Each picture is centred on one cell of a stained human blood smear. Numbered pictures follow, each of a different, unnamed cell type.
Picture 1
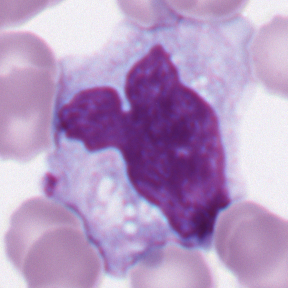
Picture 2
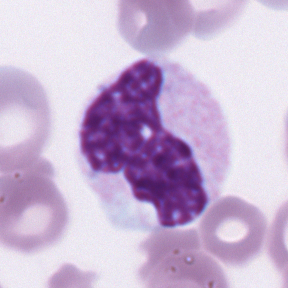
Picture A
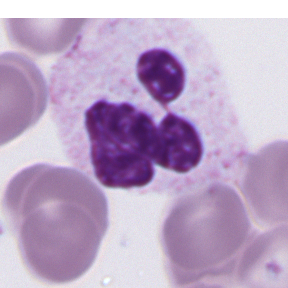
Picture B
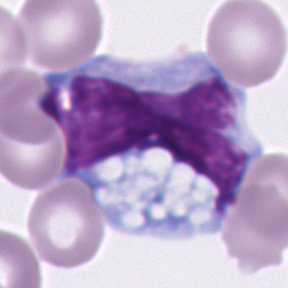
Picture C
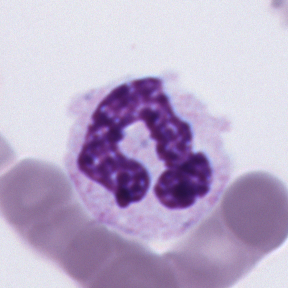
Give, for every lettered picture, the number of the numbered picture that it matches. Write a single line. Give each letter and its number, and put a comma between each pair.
A 2, B 1, C 2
